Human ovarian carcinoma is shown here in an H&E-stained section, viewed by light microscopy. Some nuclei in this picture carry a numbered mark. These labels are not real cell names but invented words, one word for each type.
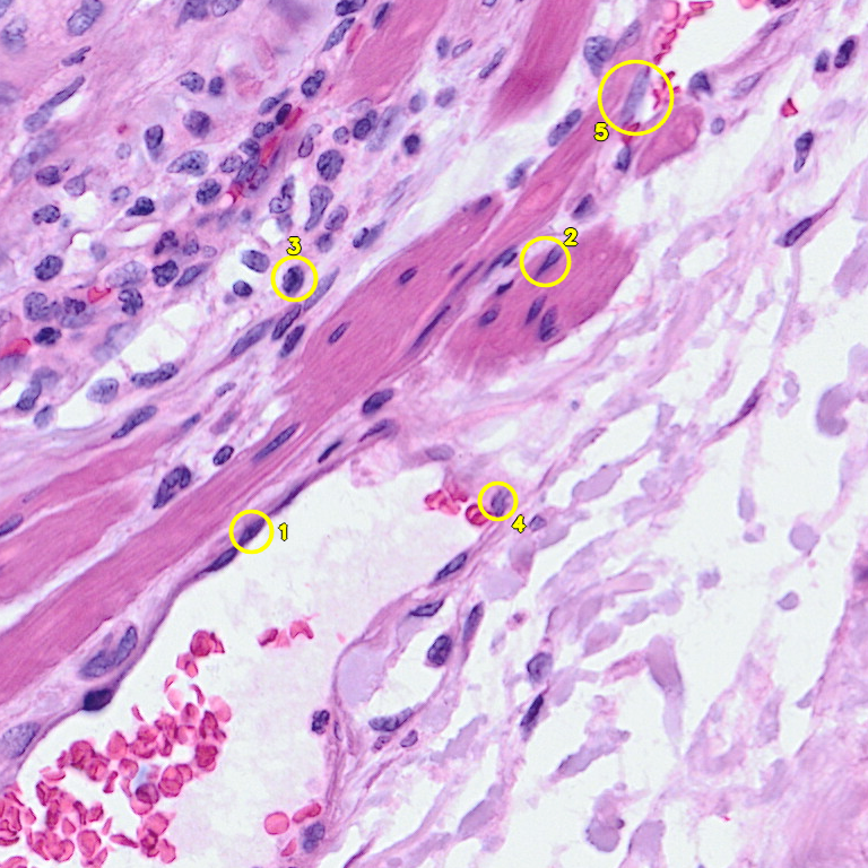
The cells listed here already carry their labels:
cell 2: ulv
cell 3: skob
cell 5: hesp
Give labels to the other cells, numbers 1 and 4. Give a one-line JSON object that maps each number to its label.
{"1": "hesp", "4": "hesp"}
